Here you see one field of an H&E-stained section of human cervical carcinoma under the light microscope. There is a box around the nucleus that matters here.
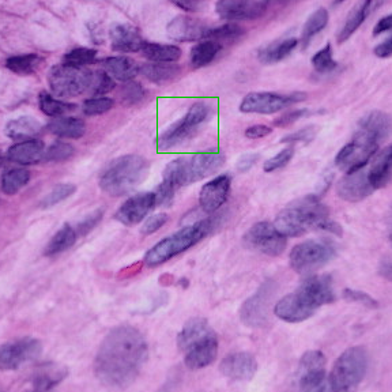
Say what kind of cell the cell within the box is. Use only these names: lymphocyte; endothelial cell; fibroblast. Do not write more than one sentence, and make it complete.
Just put down that the cell within the box is a fibroblast.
